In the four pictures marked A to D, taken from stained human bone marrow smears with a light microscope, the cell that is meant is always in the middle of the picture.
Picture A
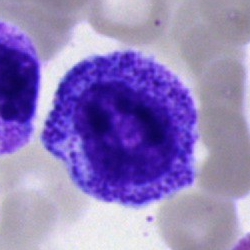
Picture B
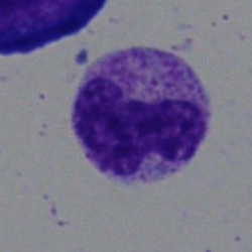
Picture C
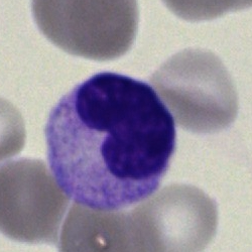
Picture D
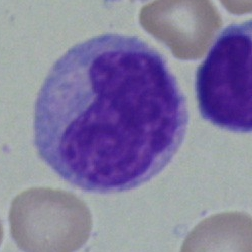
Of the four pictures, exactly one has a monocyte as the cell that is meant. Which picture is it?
D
